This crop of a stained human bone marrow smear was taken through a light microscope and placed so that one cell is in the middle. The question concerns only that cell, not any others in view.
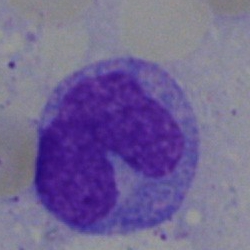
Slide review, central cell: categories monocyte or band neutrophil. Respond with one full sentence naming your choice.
At the middle of the frame sits a monocyte.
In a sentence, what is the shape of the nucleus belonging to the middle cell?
A single compact nucleus, round, oval or kidney-shaped, is what this cell shows.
